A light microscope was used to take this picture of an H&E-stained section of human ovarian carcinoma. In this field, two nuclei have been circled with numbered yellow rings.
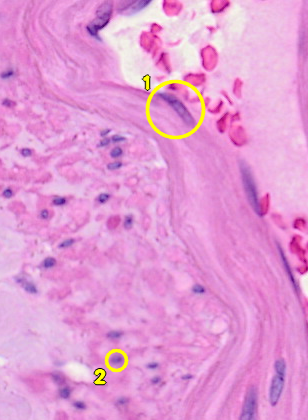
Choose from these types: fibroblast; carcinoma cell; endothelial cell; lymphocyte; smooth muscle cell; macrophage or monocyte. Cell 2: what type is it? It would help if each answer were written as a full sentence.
Cell 2, as marked in the section, is a smooth muscle cell.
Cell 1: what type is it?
The cell tagged with 1 in this tissue section is an endothelial cell.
